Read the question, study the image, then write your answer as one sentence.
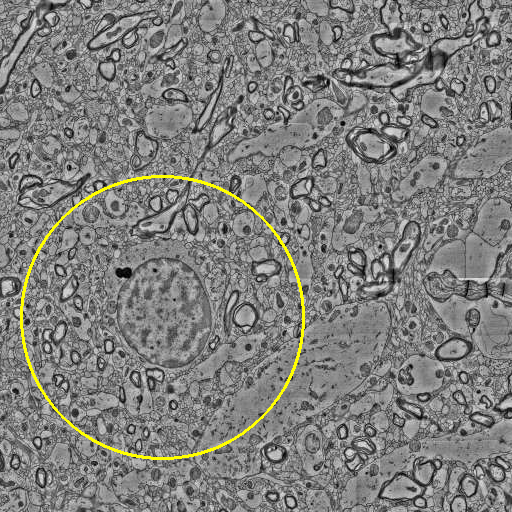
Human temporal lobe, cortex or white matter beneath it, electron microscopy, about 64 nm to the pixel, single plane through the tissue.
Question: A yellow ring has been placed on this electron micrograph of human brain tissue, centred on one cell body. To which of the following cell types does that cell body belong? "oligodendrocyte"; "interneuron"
That cell body belongs to an oligodendrocyte.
